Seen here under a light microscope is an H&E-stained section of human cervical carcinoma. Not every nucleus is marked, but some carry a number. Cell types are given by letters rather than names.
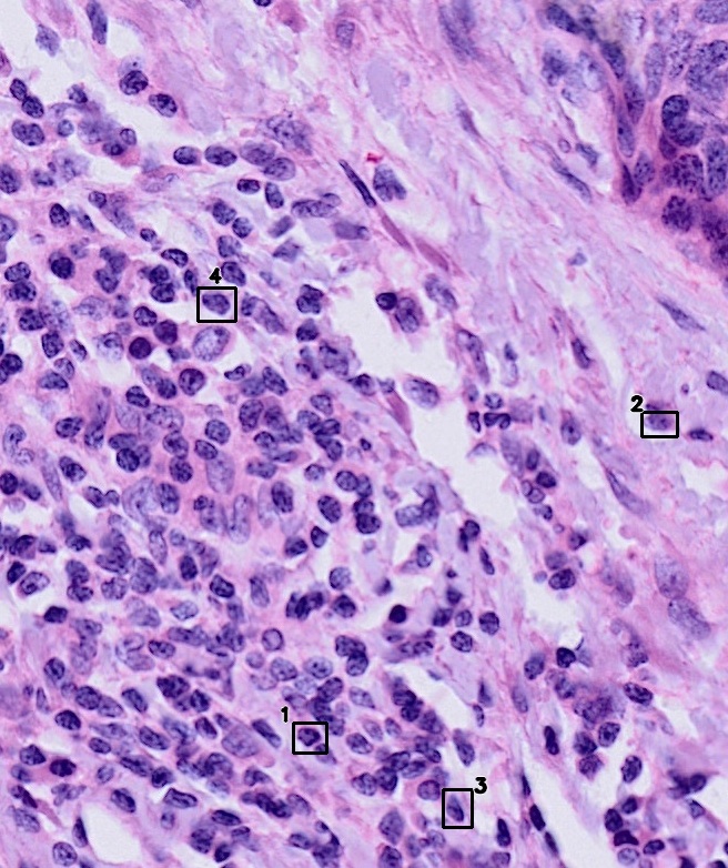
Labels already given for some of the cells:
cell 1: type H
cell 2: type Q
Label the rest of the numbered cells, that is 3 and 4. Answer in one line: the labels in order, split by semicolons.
type H; type H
